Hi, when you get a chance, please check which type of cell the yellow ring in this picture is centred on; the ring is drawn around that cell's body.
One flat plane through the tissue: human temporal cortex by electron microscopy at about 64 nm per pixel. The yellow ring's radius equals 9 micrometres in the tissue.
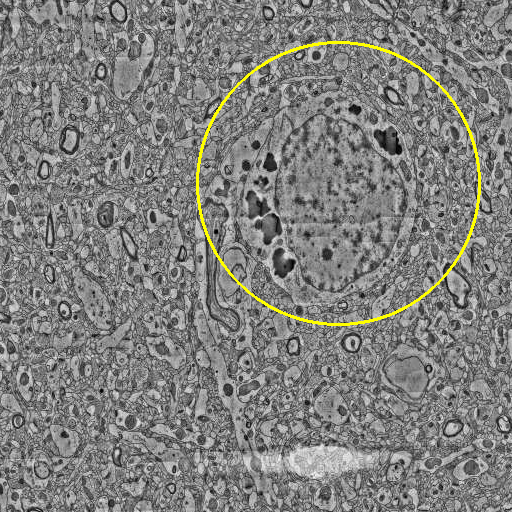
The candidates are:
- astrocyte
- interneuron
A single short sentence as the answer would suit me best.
The ring is drawn around the body of an interneuron.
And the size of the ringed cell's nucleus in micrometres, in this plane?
The ringed cell's nucleus is about 11 micrometres long and 9 micrometres wide in this plane.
